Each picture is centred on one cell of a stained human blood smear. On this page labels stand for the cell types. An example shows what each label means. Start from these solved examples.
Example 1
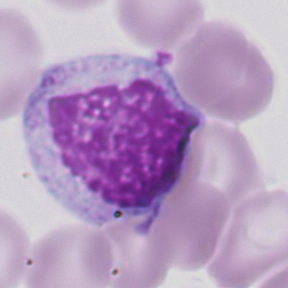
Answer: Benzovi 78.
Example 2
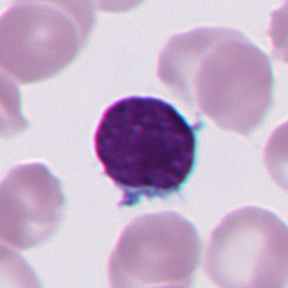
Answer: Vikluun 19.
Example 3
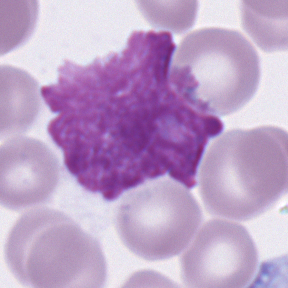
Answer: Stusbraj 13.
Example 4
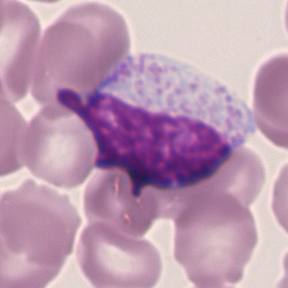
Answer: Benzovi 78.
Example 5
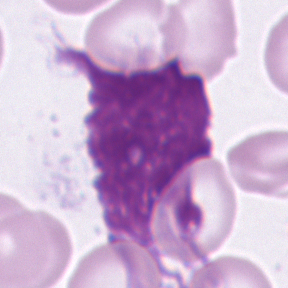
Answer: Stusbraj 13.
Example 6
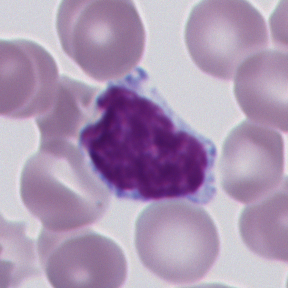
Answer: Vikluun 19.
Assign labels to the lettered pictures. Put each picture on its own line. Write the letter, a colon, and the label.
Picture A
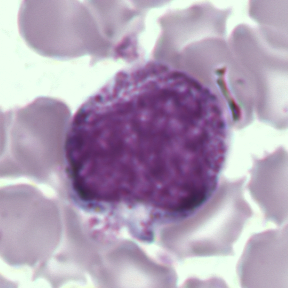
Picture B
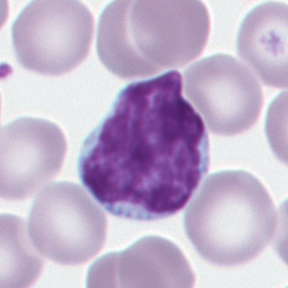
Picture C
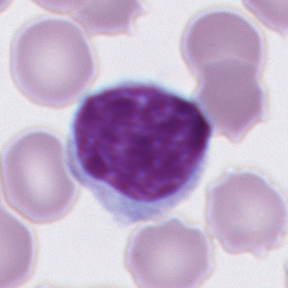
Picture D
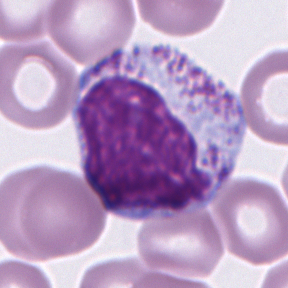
A: Benzovi 78.
B: Vikluun 19.
C: Vikluun 19.
D: Benzovi 78.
